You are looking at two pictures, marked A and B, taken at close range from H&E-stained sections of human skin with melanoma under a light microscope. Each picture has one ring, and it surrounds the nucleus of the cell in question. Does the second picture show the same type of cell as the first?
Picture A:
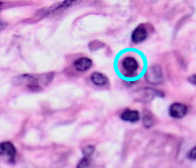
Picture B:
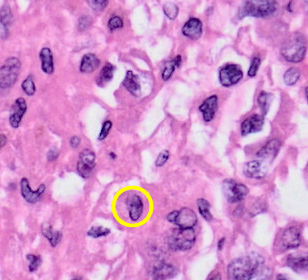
no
